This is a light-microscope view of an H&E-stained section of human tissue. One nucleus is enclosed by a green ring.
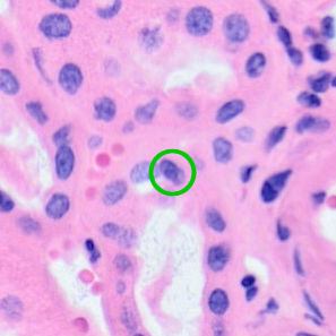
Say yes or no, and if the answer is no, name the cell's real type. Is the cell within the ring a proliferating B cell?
No, it is a collecting duct cell.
